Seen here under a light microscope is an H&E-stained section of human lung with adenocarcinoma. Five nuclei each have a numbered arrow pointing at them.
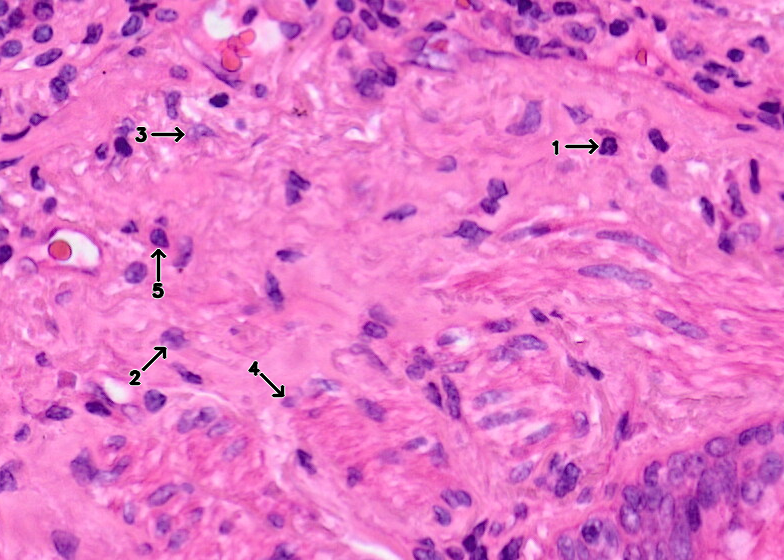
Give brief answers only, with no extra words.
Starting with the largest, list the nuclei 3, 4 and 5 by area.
3, 5, 4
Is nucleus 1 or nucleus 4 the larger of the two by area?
1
